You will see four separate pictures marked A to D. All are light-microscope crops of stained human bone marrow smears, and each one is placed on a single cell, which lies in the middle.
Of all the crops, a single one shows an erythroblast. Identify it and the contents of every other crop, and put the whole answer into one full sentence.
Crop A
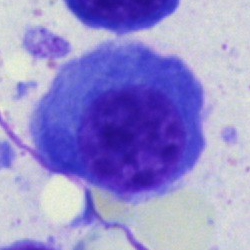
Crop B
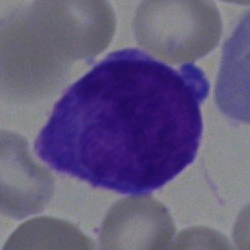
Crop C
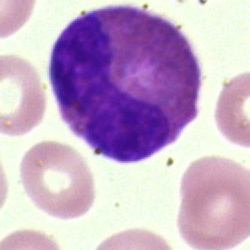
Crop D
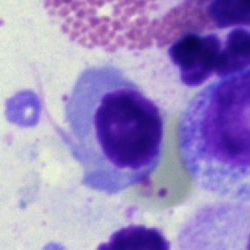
Crop D displays an erythroblast, whereas crop A is a plasma cell, crop B is a blast and crop C is an eosinophil.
